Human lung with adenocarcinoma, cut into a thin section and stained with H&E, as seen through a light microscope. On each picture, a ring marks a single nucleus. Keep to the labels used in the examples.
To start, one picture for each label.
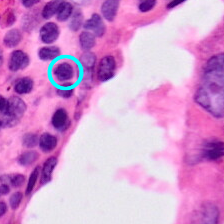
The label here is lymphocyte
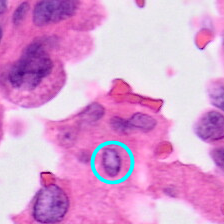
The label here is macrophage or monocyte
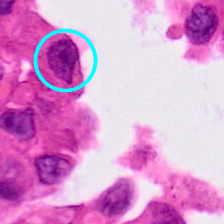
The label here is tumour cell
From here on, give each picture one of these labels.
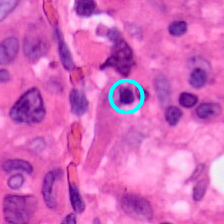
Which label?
lymphocyte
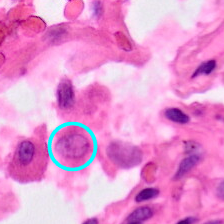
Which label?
macrophage or monocyte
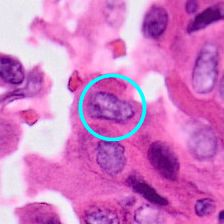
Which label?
tumour cell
